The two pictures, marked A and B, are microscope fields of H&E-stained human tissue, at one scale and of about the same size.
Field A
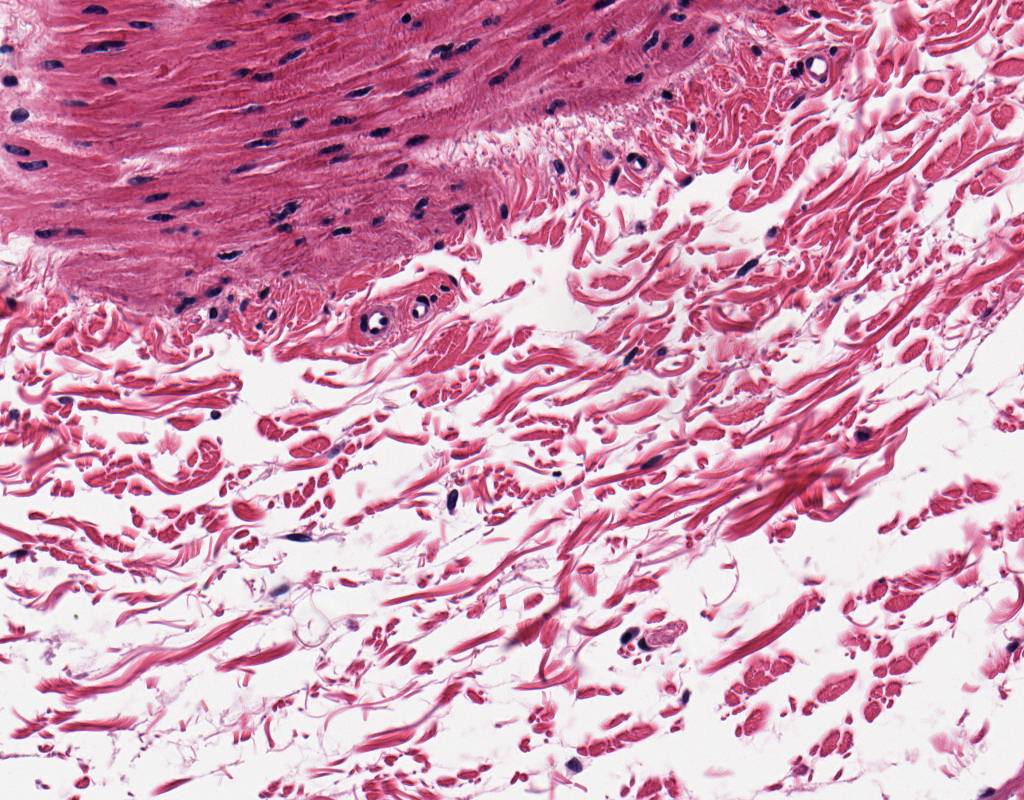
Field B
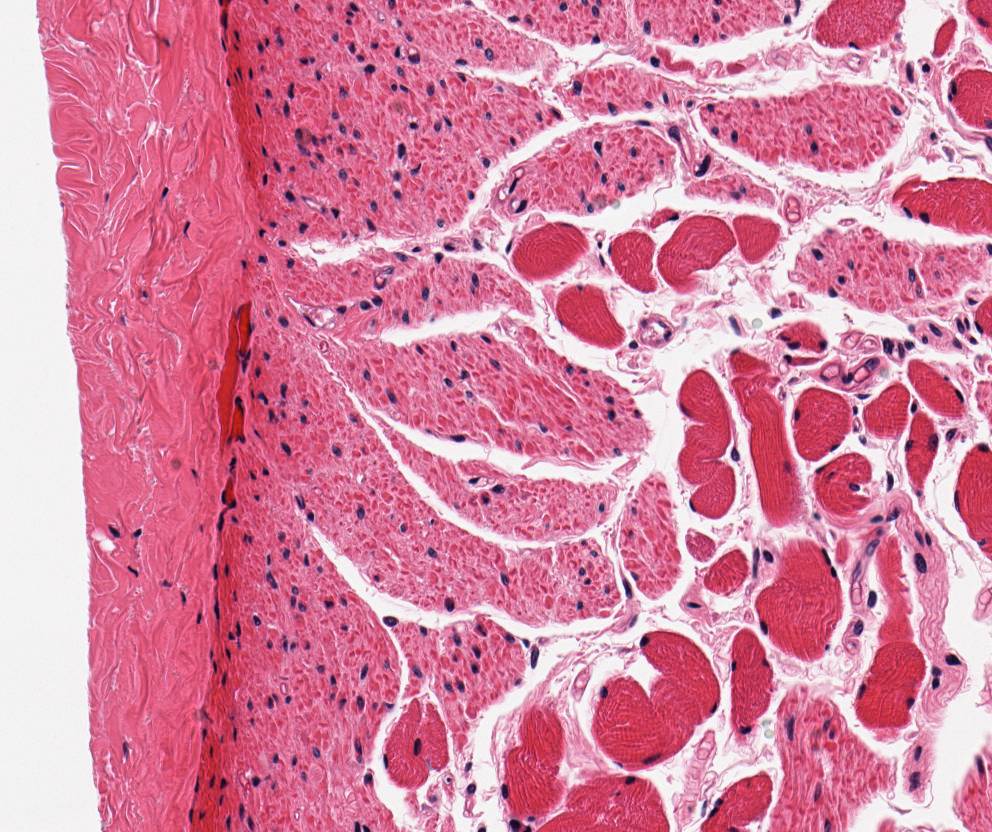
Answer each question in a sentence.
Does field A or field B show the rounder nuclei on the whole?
The nuclei are rounder in field B.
